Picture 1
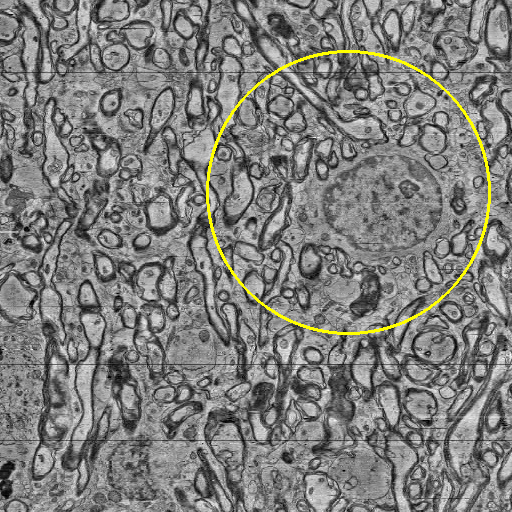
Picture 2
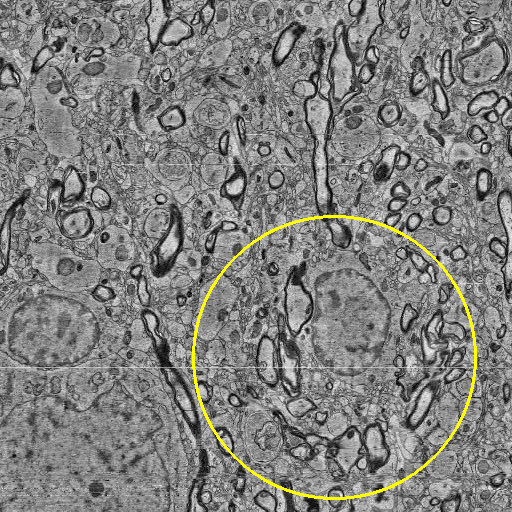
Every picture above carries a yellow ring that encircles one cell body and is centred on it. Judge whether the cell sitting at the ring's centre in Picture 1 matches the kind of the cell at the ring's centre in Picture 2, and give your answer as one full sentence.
Yes, the cells centred in the rings of Pictures 1 and 2 belong to one kind.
